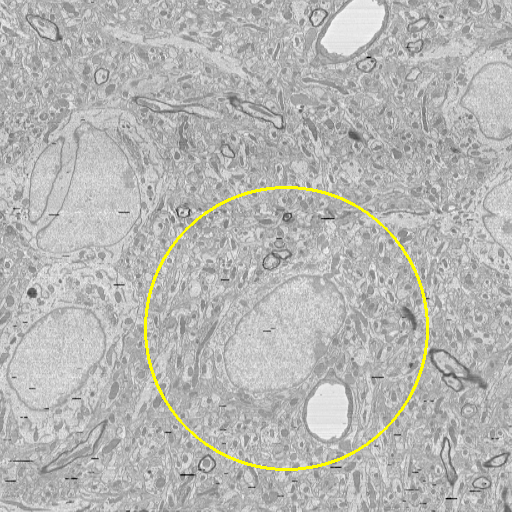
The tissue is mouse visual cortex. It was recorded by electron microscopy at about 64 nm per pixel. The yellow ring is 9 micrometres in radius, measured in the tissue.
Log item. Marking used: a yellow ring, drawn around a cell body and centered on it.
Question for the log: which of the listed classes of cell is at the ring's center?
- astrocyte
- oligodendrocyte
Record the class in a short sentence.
At the center of the ring lies an astrocyte.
